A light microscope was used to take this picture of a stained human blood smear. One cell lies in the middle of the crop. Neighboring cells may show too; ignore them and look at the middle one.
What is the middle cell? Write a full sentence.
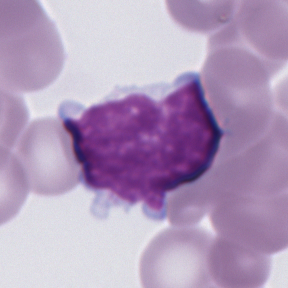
The middle cell in this particular crop is a large granular lymphocyte.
